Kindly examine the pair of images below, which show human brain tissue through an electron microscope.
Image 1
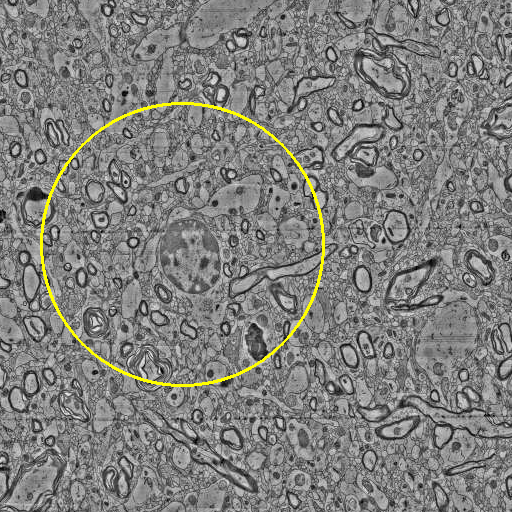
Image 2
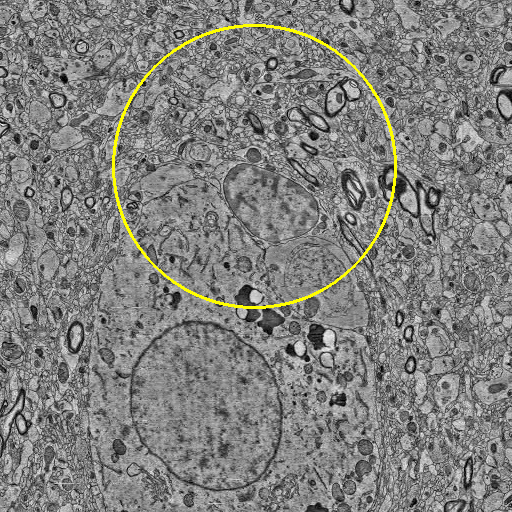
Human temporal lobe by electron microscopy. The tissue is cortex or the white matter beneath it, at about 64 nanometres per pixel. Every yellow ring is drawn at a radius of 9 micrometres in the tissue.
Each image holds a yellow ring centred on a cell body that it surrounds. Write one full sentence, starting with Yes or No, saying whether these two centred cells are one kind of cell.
Yes, both cells at the centres of the yellow rings belong to one kind of cell.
